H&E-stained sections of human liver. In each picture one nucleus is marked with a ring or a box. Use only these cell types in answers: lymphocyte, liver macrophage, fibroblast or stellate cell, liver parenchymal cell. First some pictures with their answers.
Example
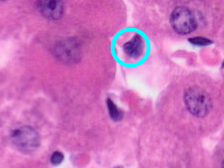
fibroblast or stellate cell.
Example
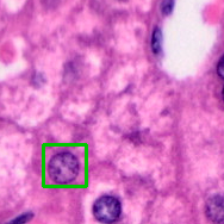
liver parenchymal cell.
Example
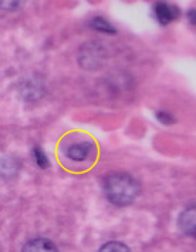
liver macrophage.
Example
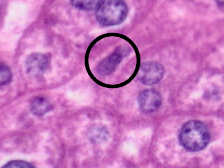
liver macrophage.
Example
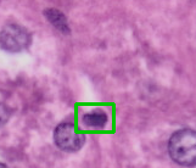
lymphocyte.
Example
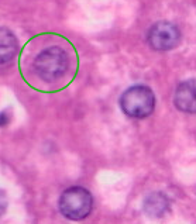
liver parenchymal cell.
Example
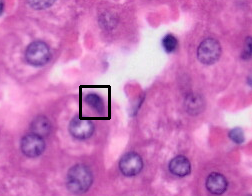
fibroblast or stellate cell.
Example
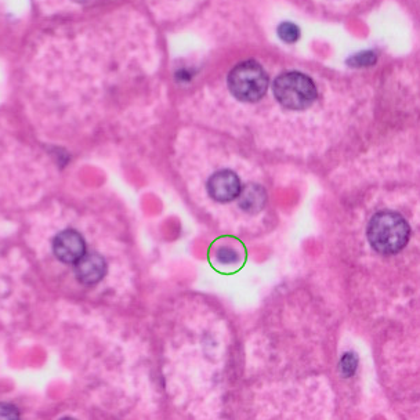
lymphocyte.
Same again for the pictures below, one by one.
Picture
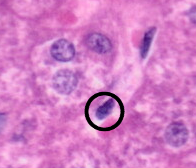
lymphocyte.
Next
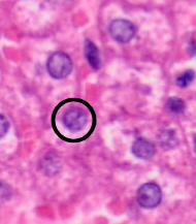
liver parenchymal cell.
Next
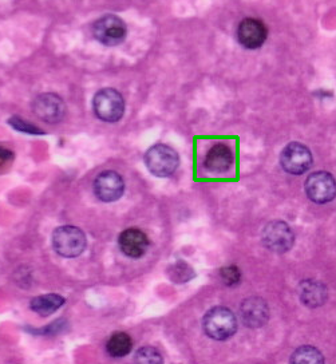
liver parenchymal cell.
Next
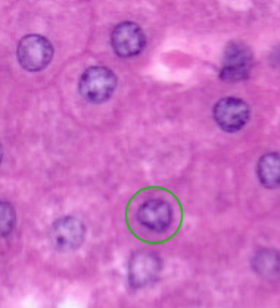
liver parenchymal cell.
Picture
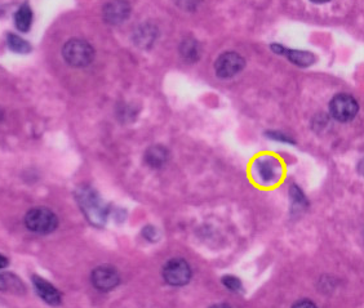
lymphocyte.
